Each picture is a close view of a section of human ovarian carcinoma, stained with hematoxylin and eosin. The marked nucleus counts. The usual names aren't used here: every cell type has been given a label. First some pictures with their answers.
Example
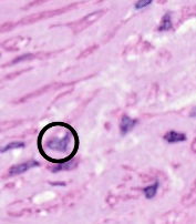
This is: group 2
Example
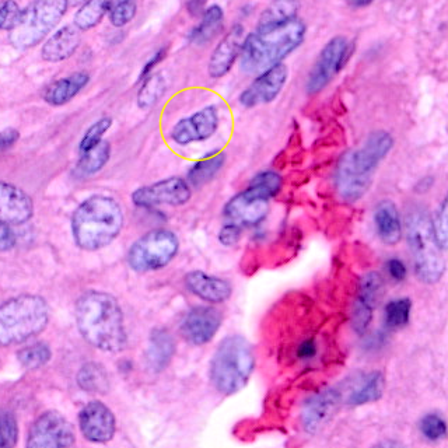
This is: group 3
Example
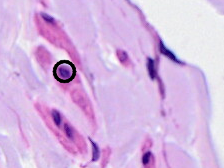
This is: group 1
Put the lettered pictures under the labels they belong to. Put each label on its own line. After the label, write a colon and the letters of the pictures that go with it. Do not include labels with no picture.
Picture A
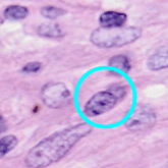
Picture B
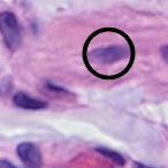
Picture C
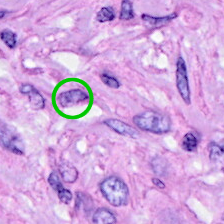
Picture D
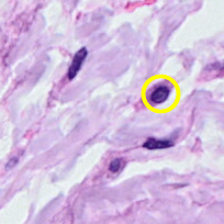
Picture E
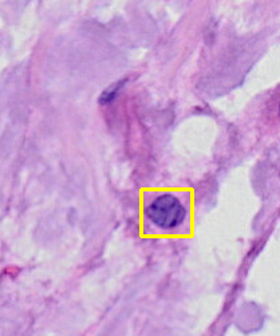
group 2: C
group 3: A, D, E
group 1: B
